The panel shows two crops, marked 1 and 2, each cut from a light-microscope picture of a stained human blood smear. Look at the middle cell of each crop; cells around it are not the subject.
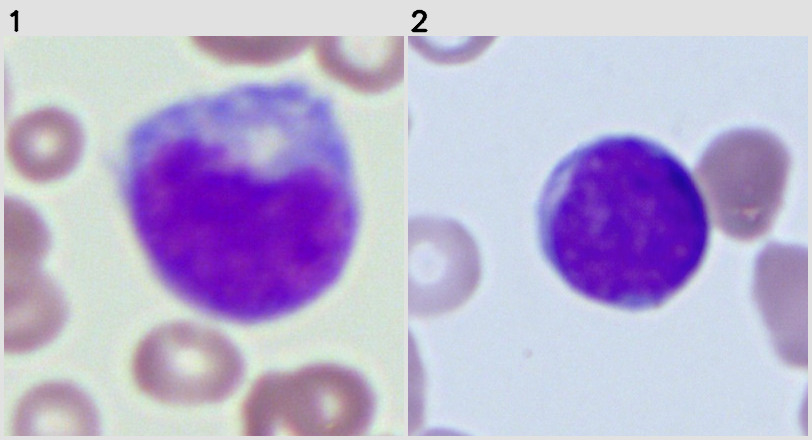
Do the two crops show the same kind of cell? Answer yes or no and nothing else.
no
